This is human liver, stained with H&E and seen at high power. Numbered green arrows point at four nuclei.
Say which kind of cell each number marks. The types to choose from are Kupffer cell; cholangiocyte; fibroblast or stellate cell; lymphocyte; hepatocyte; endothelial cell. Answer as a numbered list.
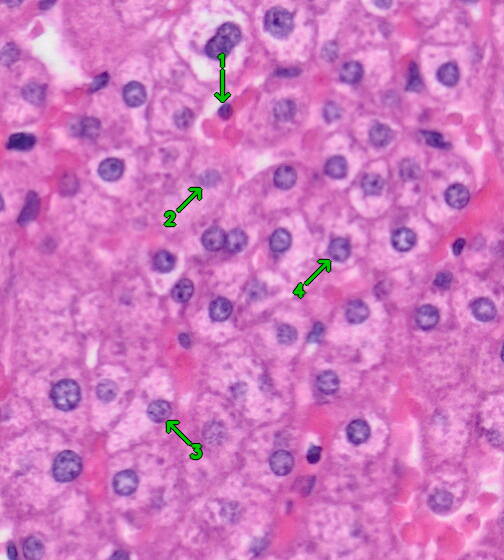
1. lymphocyte
2. hepatocyte
3. hepatocyte
4. hepatocyte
